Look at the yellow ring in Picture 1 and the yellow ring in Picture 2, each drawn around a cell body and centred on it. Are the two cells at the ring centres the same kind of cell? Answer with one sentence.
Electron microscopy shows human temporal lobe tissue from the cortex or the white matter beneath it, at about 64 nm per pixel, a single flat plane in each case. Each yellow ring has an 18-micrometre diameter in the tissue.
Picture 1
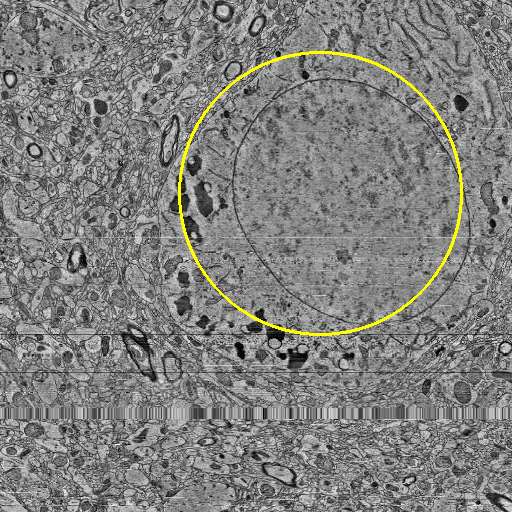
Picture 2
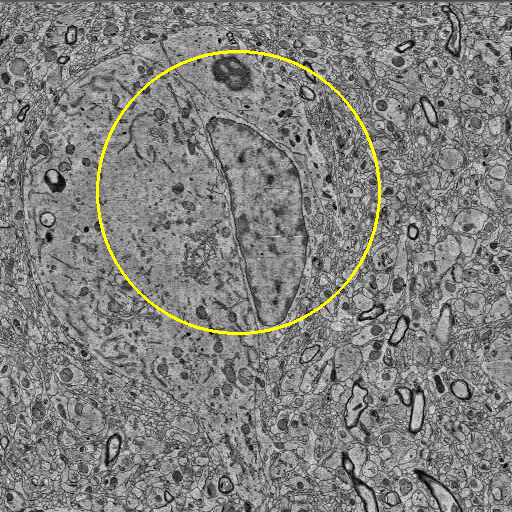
No, they are cells of two kinds.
